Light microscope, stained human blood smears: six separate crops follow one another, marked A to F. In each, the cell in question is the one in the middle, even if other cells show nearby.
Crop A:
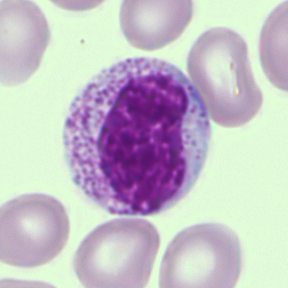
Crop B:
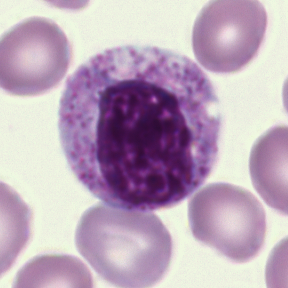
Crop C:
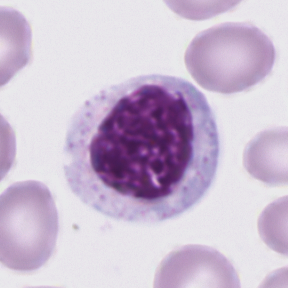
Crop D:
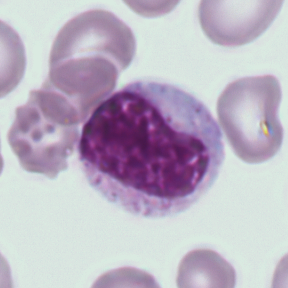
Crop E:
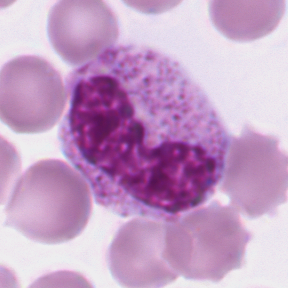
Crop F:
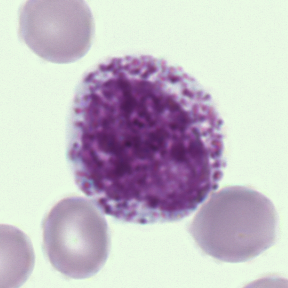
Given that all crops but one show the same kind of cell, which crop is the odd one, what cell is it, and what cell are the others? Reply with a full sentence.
In every crop except crop E, which shows a band neutrophil, metamyelocytes are shown.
